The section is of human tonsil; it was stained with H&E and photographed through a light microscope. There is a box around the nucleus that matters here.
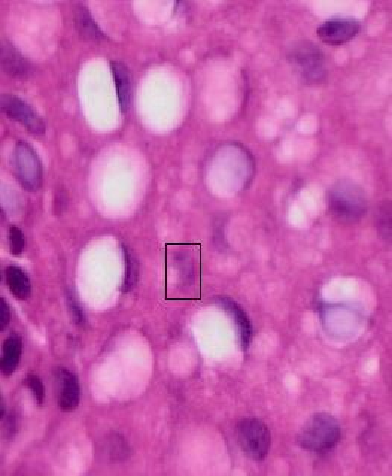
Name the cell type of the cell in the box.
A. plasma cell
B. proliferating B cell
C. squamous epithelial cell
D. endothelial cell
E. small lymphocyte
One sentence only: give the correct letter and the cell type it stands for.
Option C, which has the cell in the box as a squamous epithelial cell, is the correct choice.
